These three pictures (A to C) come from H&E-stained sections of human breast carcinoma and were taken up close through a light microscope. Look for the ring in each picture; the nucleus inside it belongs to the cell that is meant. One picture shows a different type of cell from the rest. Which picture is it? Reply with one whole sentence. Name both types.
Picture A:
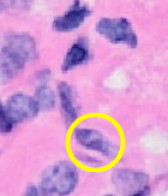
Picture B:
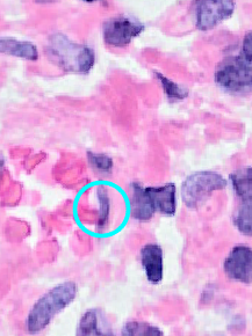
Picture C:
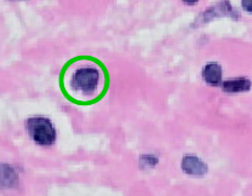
Picture C differs, because its cell is a lymphocyte and the rest are endothelial cells.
